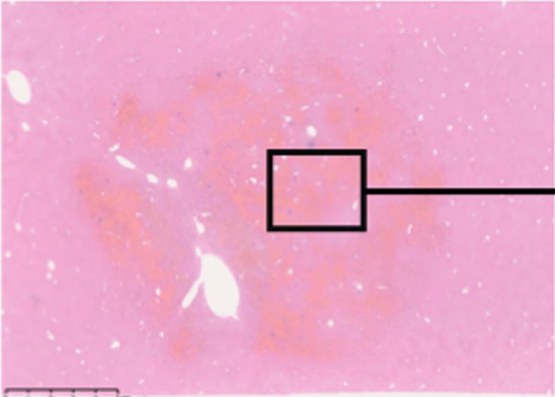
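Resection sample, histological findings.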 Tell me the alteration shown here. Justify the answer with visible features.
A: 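Localized, severe dilatation and congestion of the sinusoid. A central, ill-defined area is more red-orange than the surrounding pale pink tissue. The surrounding tissue is uniform and pale with scattered small vessel lumina.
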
